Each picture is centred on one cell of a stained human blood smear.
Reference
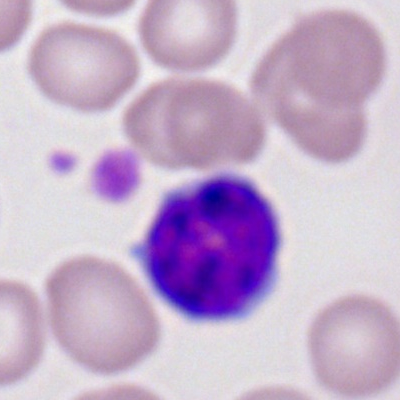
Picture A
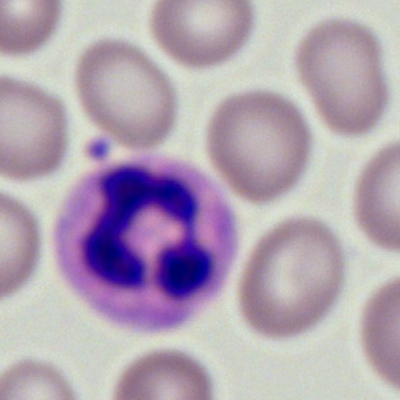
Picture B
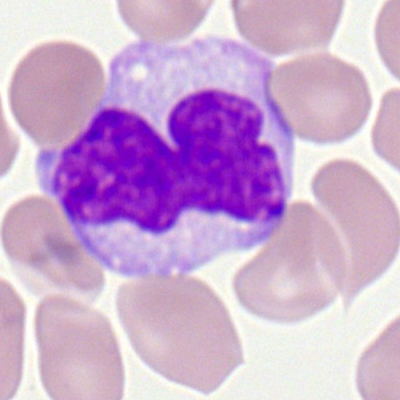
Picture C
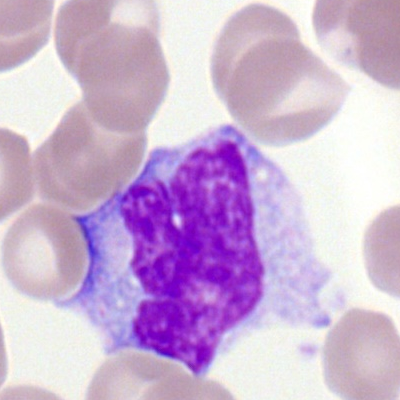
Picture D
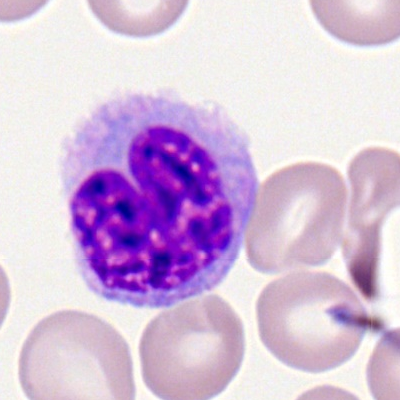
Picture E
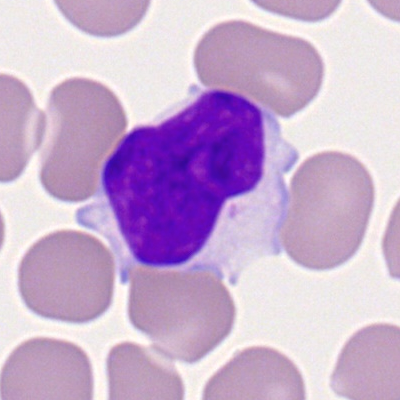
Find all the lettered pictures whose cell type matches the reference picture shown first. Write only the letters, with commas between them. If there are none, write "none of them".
E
